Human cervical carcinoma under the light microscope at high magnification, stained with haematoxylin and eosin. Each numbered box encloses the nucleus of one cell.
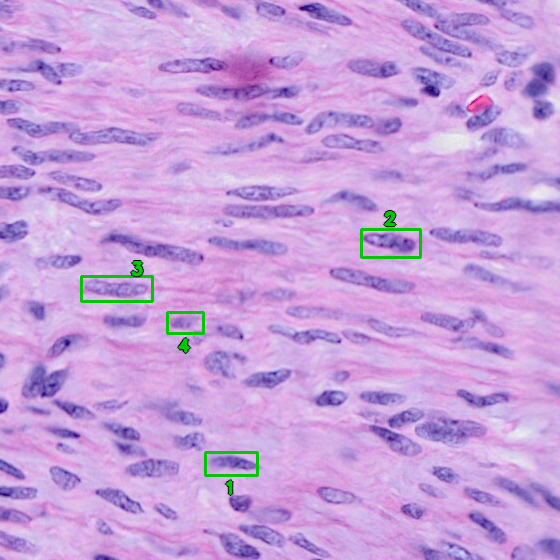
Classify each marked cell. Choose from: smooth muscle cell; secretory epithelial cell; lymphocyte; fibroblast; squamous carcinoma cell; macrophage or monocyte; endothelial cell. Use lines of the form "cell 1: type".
cell 1: fibroblast
cell 2: smooth muscle cell
cell 3: smooth muscle cell
cell 4: smooth muscle cell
